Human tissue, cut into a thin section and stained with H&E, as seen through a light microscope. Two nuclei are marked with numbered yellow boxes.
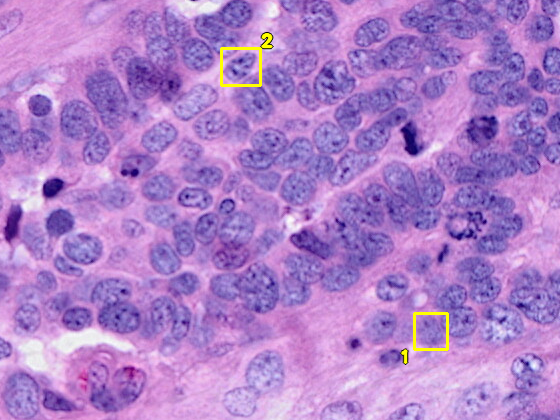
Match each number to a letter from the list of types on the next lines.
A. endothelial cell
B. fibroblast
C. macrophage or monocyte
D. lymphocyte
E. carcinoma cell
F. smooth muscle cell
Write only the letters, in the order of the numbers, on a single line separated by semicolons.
E; C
